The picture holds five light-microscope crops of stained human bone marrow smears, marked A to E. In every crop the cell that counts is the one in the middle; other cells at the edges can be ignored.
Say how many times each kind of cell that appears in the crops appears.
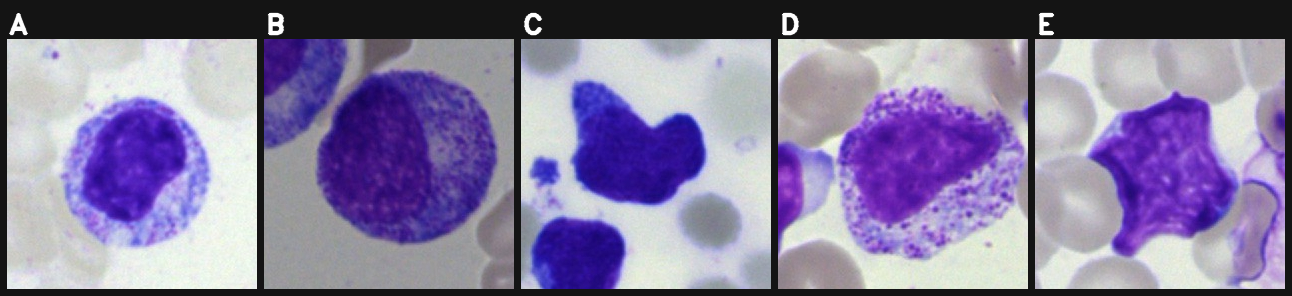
myelocyte: 2
blast: 2
promyelocyte: 1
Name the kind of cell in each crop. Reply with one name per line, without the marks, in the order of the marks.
myelocyte
promyelocyte
blast
myelocyte
blast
